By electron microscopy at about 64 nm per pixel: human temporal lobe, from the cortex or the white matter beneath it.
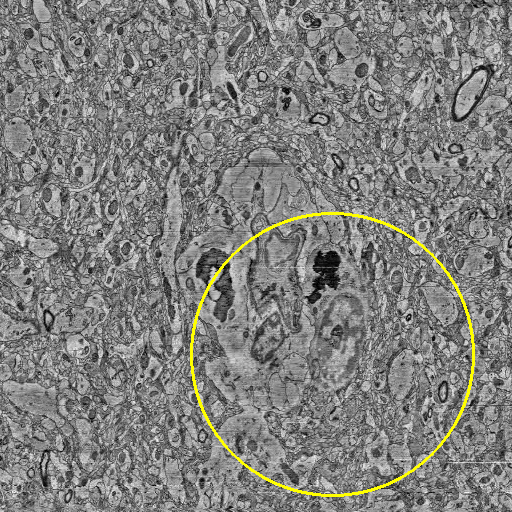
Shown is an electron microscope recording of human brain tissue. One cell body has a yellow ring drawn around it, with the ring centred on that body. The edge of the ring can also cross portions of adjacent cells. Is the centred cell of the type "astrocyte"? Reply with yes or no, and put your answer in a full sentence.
No, in the picture, the cell on which the ring is centred has a different type.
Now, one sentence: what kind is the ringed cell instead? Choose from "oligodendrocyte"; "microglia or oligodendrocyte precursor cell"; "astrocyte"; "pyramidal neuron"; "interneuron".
The correct answer is that the cell is an oligodendrocyte.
